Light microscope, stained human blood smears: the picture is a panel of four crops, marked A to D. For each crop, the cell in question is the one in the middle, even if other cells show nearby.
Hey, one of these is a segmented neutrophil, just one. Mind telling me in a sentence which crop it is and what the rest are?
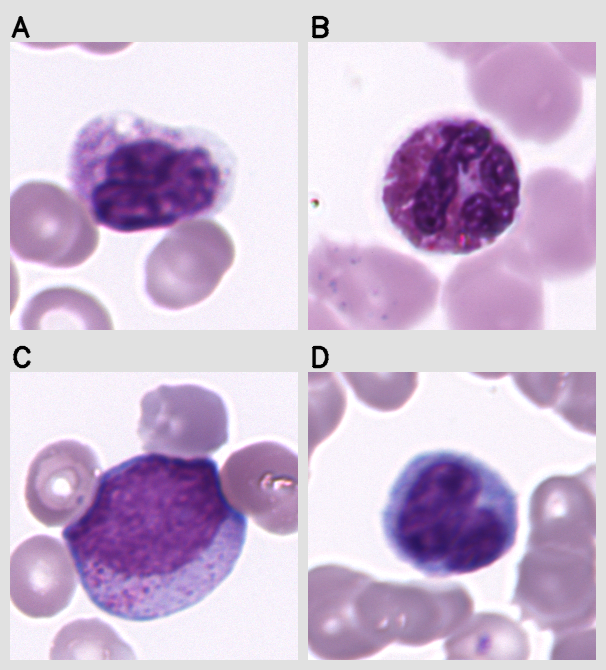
Crop A carries a segmented neutrophil in its middle, whereas crop B is an eosinophil, crop C is an atypical promyelocyte and crop D is a monocyte.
